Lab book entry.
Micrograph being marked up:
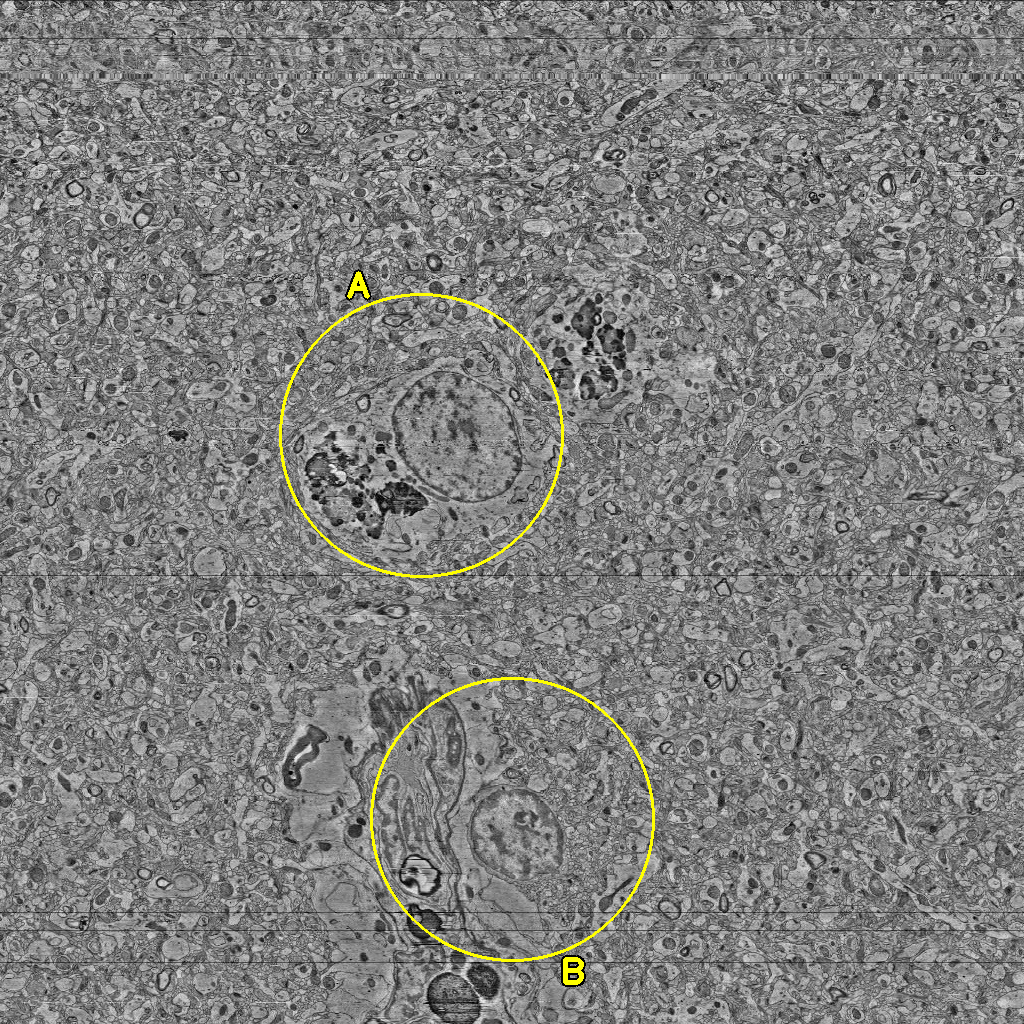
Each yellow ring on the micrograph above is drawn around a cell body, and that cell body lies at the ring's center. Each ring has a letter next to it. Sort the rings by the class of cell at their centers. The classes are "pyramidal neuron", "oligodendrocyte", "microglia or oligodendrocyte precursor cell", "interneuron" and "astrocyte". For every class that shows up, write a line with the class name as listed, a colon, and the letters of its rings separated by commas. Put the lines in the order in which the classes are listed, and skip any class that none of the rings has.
oligodendrocyte: B
astrocyte: A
